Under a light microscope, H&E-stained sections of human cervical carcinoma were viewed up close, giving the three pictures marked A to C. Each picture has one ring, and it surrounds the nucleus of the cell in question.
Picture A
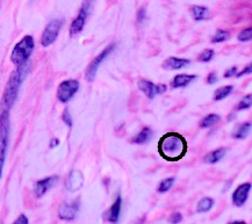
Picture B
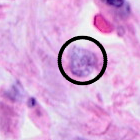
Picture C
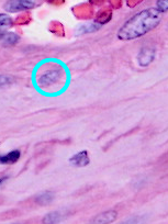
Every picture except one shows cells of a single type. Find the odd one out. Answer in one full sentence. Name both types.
All pictures except B show smooth muscle cells; picture B shows an endothelial cell.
